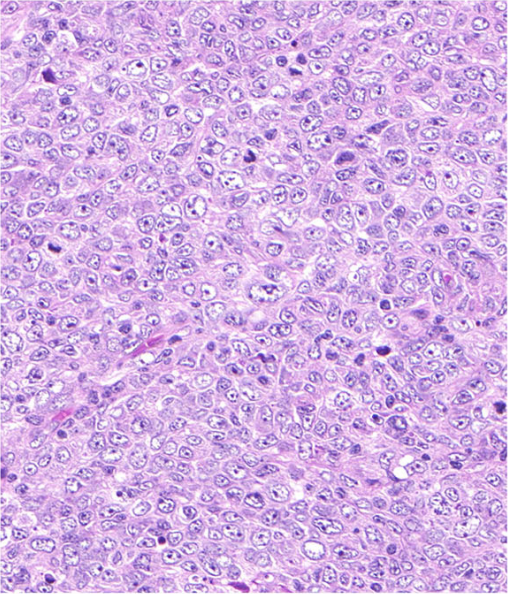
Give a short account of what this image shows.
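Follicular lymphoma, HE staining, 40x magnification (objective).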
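The cells are large and closely packed, with round to oval nuclei that have open, pale chromatin and one or more distinct purple nucleoli, often lying against the nuclear membrane. Each nucleus is surrounded by a moderate rim of pale pink cytoplasm, giving the field a lighter overall tone. Small lymphocytes with dark compact nuclei are scarce. A few darker, irregular nuclei and scattered thin strands of pink stroma run between the cells.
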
